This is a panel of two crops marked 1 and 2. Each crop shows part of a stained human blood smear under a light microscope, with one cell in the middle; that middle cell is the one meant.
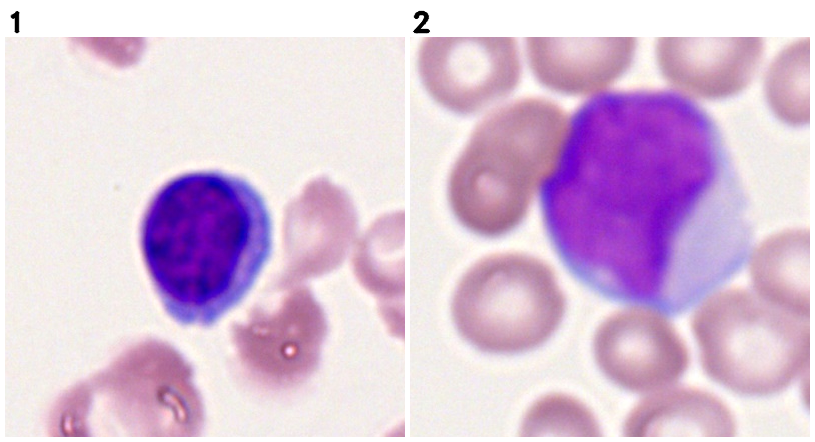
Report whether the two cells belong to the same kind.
no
